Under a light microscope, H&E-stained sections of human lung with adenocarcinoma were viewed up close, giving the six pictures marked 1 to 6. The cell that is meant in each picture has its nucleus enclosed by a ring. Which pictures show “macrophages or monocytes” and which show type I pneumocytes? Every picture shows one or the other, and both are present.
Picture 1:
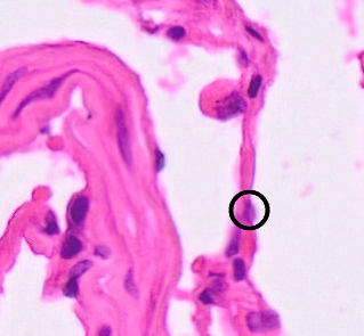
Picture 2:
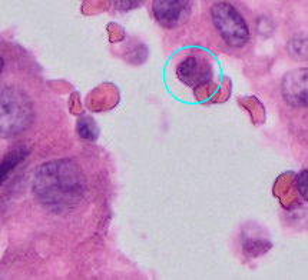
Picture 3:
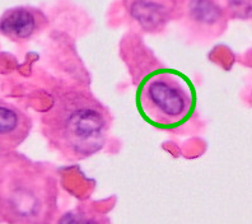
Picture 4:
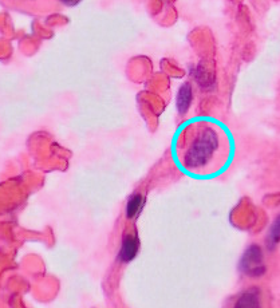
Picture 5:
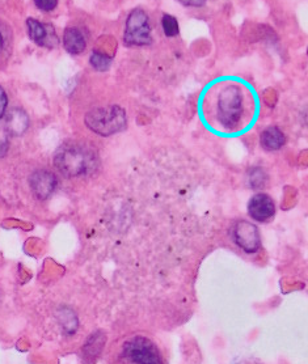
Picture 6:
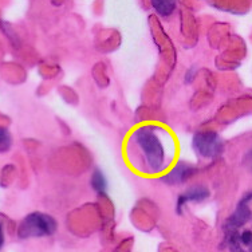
1: type I pneumocyte
2: macrophage or monocyte
3: macrophage or monocyte
4: type I pneumocyte
5: macrophage or monocyte
6: type I pneumocyte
